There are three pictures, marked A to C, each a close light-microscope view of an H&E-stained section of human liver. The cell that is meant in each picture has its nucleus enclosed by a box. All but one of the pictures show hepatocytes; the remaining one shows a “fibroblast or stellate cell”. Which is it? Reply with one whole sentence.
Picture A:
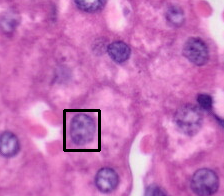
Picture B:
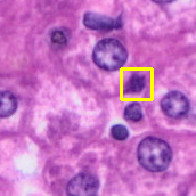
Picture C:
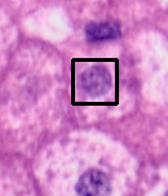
The “fibroblast or stellate cell” is the one in picture B.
